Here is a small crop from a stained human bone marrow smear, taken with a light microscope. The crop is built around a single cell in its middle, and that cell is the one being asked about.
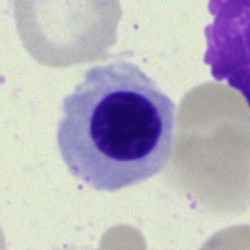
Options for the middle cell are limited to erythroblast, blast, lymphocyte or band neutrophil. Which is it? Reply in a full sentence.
The central cell, amid any neighbouring cells, is an erythroblast.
